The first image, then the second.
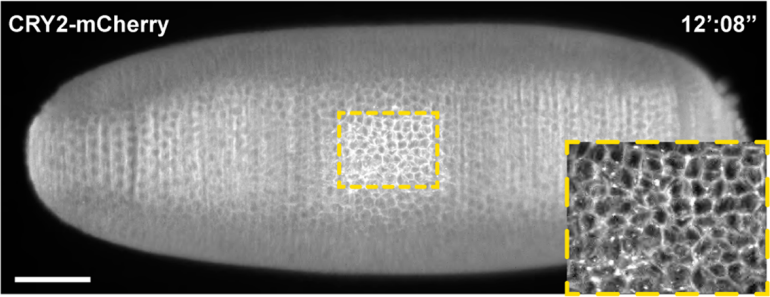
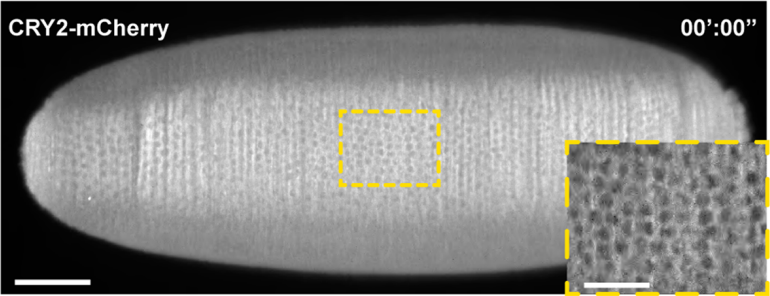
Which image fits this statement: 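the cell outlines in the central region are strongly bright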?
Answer: The first image.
